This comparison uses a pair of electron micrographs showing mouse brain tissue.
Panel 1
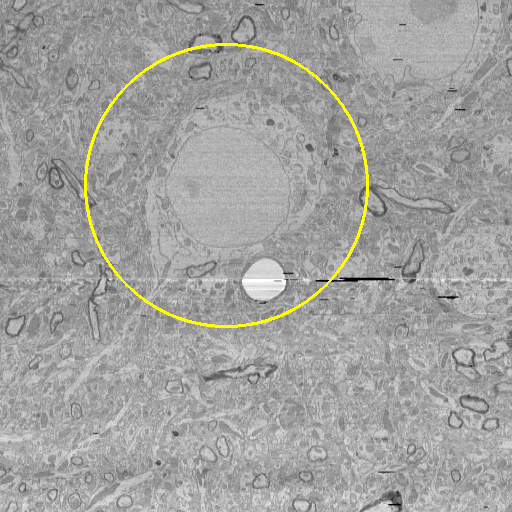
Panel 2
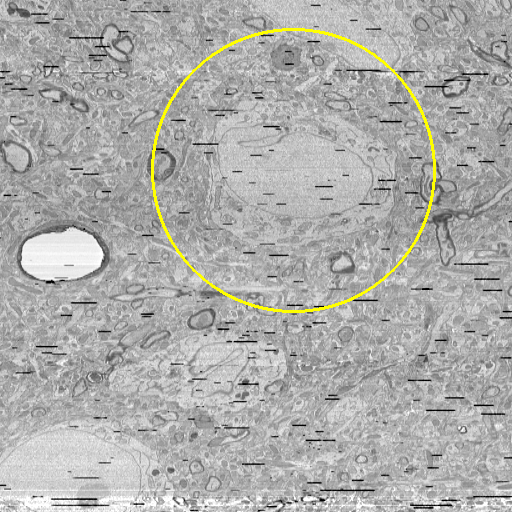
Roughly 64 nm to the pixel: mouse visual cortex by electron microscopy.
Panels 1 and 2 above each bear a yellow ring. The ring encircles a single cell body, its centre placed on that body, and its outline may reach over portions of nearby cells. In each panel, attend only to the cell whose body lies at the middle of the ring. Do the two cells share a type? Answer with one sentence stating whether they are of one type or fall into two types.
In Panel 1 and Panel 2, the cells at the centres of the rings are of one type.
